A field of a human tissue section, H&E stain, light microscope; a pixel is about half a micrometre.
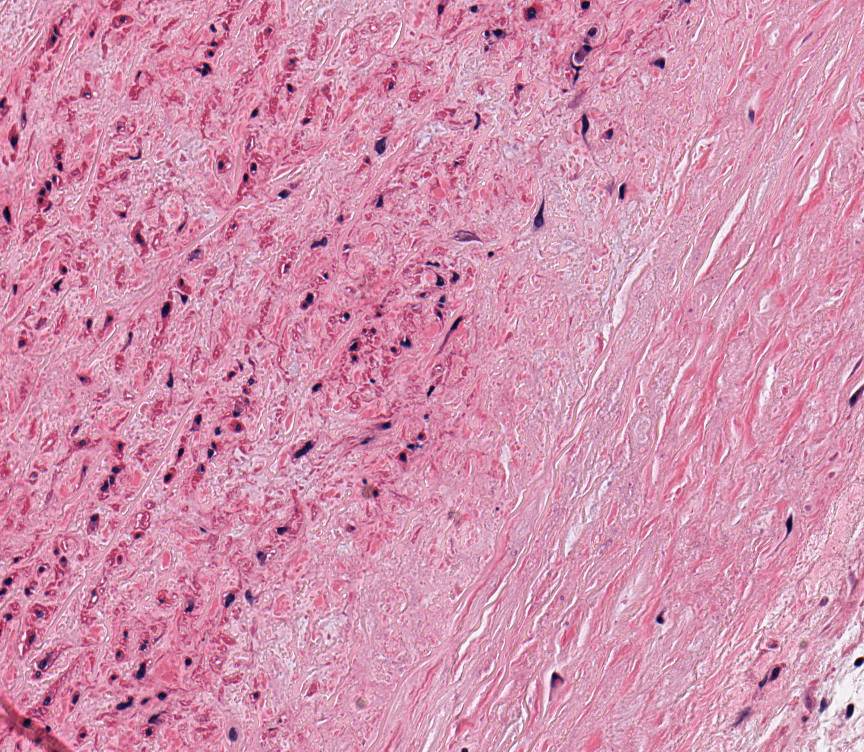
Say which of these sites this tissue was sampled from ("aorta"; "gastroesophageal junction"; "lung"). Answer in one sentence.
The site this tissue was sampled from is the aorta.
